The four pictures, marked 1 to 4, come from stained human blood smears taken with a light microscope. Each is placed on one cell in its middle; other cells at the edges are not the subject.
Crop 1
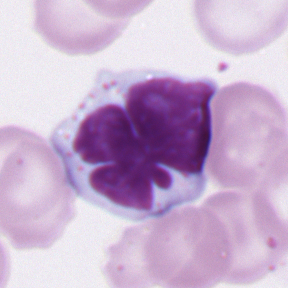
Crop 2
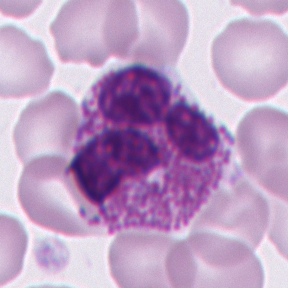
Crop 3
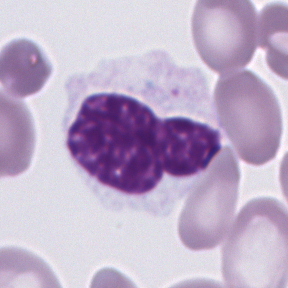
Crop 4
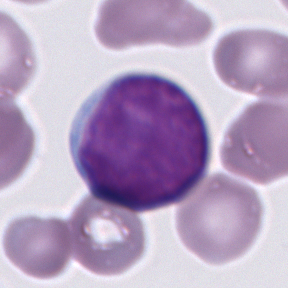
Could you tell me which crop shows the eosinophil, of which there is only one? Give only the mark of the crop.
2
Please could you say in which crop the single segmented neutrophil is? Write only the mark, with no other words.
3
